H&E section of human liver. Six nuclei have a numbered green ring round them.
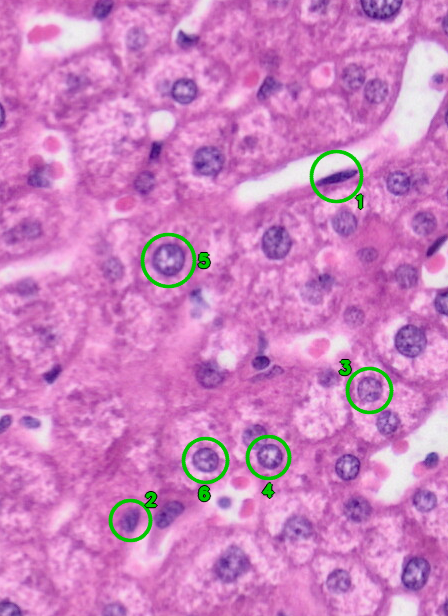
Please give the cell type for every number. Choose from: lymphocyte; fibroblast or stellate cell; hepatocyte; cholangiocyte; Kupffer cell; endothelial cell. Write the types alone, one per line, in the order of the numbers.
Kupffer cell
fibroblast or stellate cell
hepatocyte
hepatocyte
hepatocyte
hepatocyte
